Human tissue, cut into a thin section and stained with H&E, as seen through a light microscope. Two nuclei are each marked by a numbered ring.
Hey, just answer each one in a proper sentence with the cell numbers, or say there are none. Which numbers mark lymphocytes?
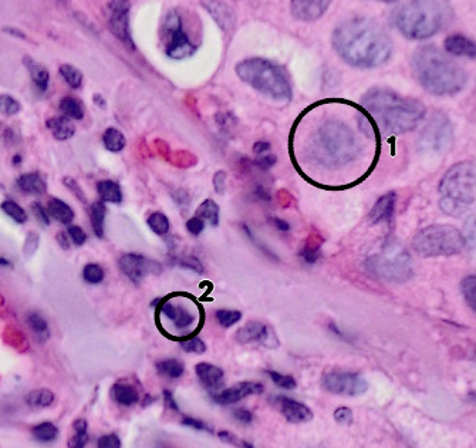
The nucleus labelled 2 alone belongs to a lymphocyte; the other marked nuclei do not.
